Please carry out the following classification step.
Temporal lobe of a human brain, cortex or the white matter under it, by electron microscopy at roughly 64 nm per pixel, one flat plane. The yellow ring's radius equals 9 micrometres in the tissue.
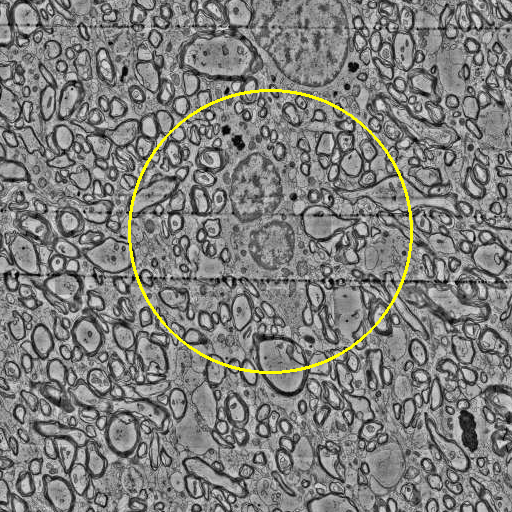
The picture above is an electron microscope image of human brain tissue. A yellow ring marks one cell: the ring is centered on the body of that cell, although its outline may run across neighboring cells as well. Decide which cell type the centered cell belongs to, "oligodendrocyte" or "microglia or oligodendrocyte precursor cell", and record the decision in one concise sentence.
The cell centered in the yellow ring is an oligodendrocyte.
